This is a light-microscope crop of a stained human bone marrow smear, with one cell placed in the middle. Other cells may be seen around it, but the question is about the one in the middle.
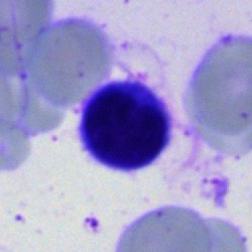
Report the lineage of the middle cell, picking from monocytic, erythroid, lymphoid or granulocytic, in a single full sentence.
The cell in the middle of the crop belongs to the lymphoid lineage.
